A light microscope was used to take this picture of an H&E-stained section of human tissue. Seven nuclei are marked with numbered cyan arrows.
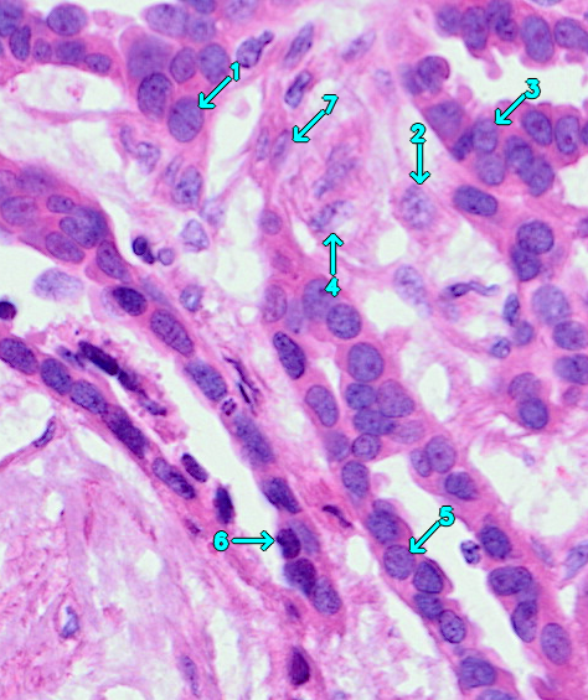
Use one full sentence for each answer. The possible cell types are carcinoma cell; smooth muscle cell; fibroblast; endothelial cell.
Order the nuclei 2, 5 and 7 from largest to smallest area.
By area, largest first, they run 2, 5, 7.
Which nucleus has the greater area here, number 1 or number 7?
Of the two, number 1 is bigger and takes up about 2 times the area of number 7.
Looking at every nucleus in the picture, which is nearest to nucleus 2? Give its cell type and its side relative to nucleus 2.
Just to the right of nucleus 2 lies the nearest nucleus, which belongs to a carcinoma cell.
